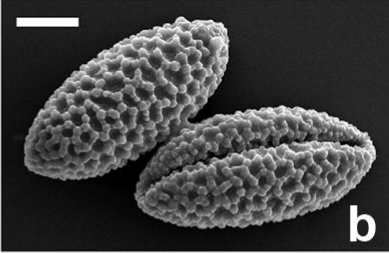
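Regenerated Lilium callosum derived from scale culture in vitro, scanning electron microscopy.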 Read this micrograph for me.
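Two elongated, spindle-shaped grains lie side by side on a dark background, each tapering toward both ends. Their whole surface is covered by a raised, net-like ornament of small ridges enclosing shallow pits, giving a honeycomb-like texture. The right-hand grain shows a long furrow running lengthwise along its face, while the left-hand grain is turned so that no furrow is clear.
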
